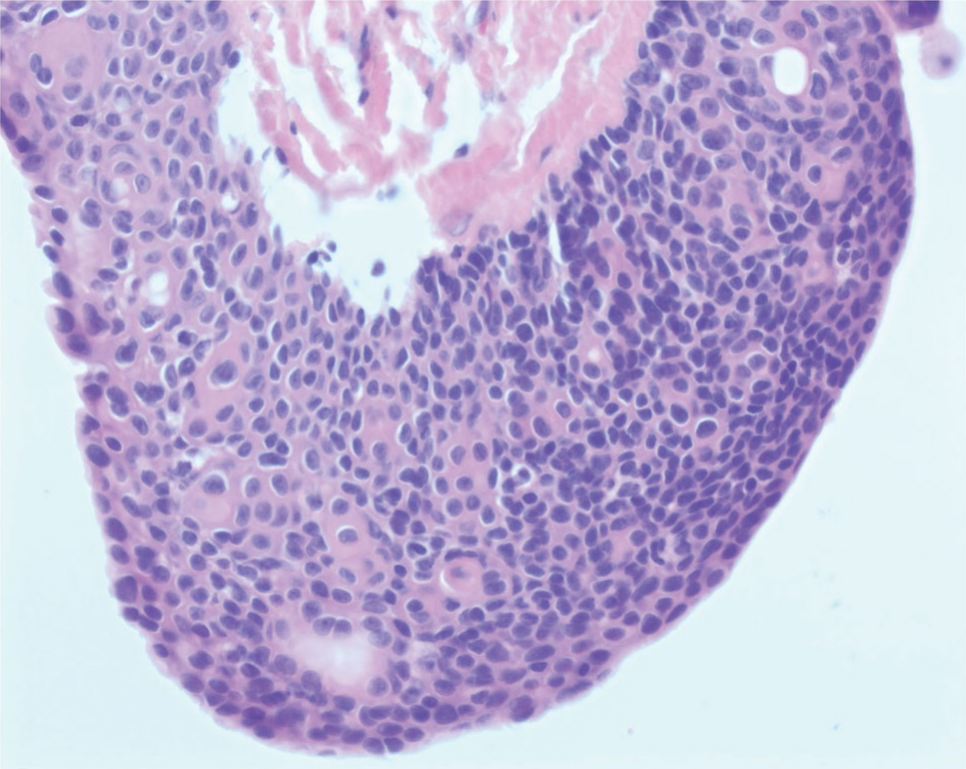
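Solid sheet of small basaloid cells with dark purple, round to oval nuclei and scant pale pink cytoplasm, closely packed. Scattered among the cells are a few small round clear spaces, one near the top right forming a small duct-like lumen. Along the top edge the cell sheet borders pink fibrous stroma.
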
